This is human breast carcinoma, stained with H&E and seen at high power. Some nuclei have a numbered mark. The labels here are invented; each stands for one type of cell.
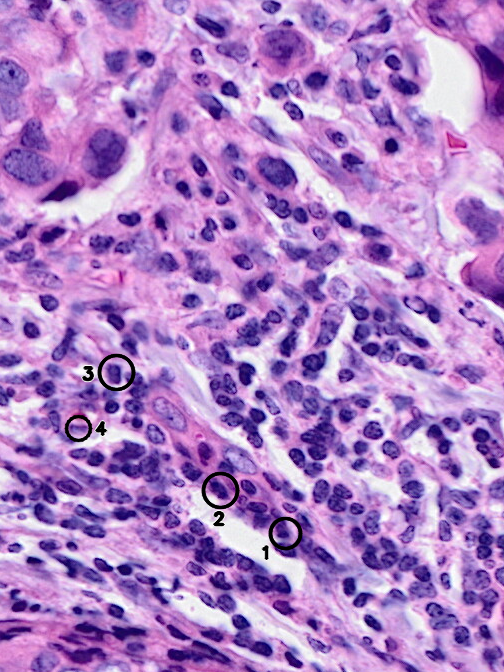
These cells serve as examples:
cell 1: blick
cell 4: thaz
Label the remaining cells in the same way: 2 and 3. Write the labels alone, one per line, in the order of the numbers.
blick
blick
